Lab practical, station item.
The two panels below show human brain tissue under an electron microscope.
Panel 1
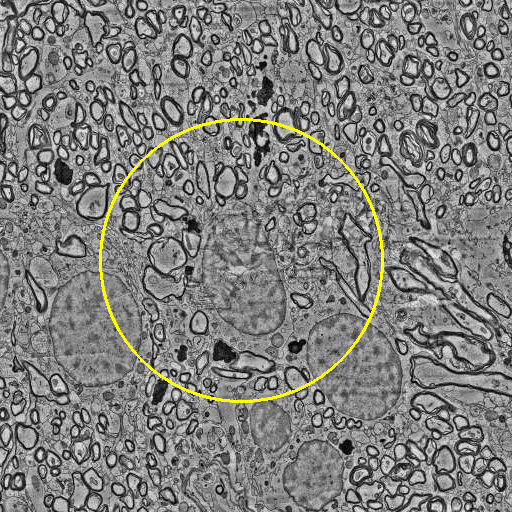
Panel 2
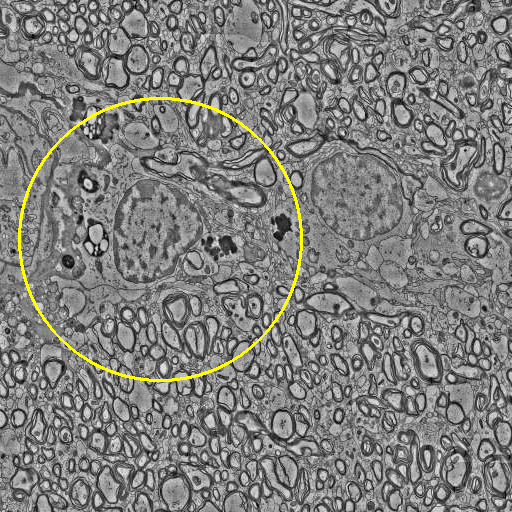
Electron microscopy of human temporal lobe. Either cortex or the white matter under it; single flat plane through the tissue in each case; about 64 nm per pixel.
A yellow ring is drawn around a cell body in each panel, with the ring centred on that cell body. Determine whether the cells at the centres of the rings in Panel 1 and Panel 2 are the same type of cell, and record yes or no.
no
